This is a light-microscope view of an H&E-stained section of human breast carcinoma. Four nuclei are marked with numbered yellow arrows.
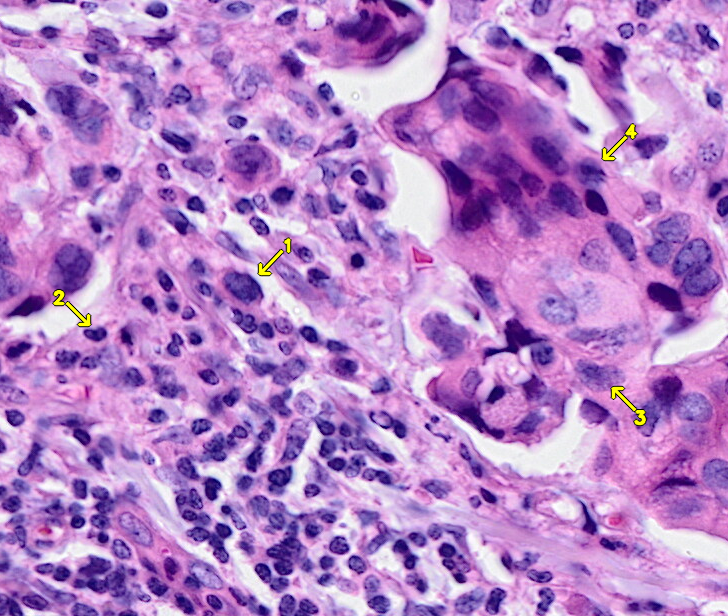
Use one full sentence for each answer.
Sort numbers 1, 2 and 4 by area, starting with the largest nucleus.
Largest first, the order by area is 1, 4, 2.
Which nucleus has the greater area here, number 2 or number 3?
At about 3 times the area of nucleus 2, nucleus 3 is the larger of the two.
